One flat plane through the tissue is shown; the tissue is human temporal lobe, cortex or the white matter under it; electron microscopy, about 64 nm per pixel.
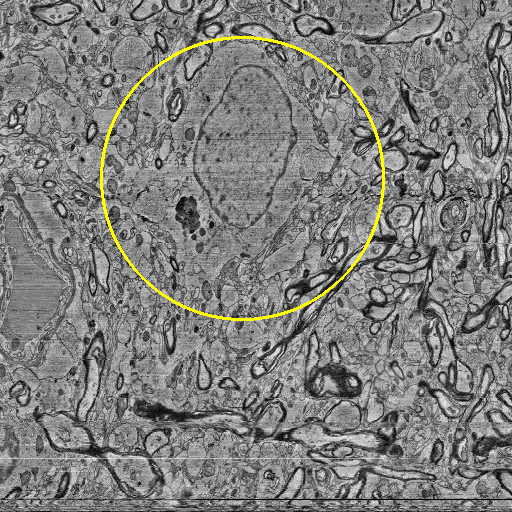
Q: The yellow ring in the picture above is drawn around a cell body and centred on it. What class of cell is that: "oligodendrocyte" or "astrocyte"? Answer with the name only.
astrocyte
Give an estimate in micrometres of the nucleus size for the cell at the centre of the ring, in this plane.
Roughly 11 micrometres long and 6 micrometres wide; in this plane the nucleus is clearly longer than it is wide.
